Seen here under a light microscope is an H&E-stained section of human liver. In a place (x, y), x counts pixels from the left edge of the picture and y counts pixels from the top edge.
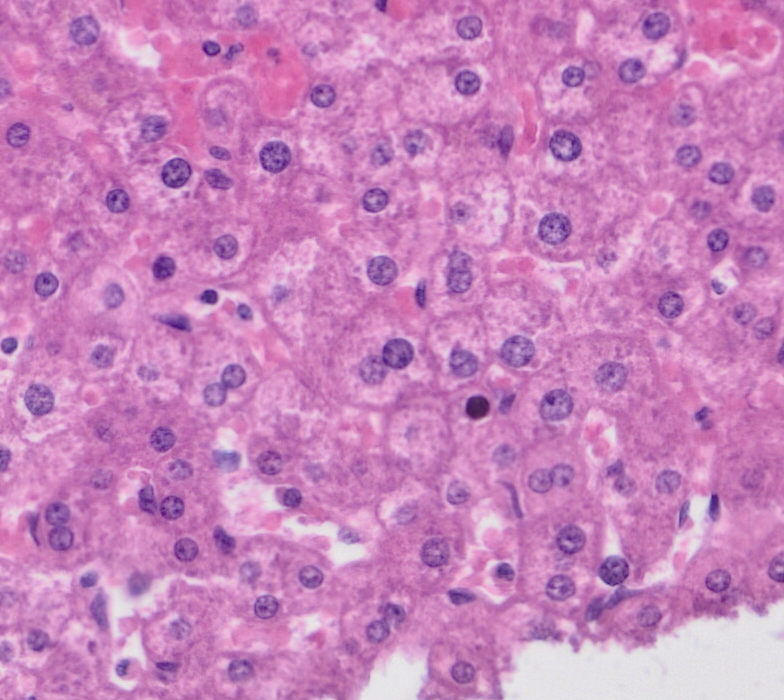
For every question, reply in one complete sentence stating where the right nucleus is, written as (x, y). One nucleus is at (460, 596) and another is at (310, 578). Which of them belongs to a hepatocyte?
Here the nucleus at (310, 578) is the one that belongs to a hepatocyte.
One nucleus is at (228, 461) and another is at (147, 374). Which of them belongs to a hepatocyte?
In this pair, the nucleus at (147, 374) belongs to a hepatocyte.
